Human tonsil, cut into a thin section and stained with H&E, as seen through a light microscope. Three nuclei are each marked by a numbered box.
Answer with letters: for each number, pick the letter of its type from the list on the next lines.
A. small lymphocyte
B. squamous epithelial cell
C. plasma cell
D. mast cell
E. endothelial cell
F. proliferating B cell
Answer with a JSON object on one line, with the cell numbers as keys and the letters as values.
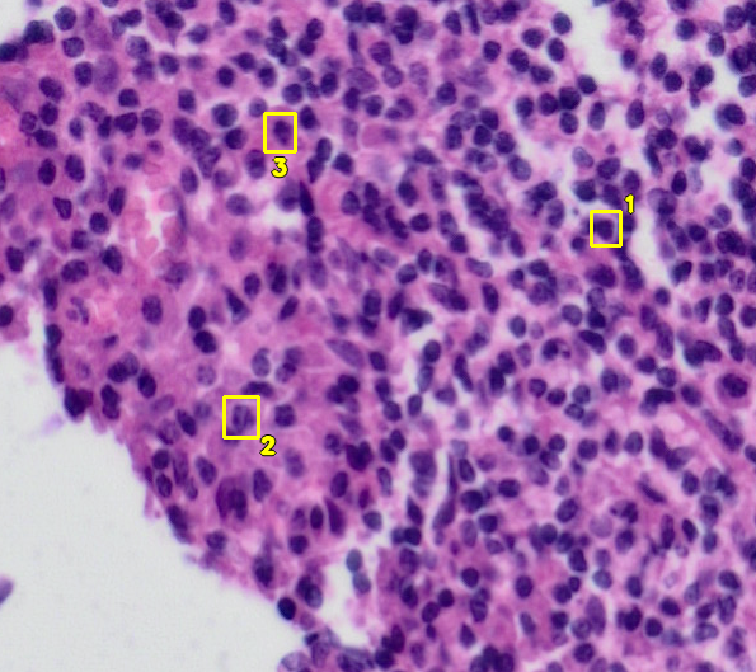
{"1": "A", "2": "C", "3": "C"}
